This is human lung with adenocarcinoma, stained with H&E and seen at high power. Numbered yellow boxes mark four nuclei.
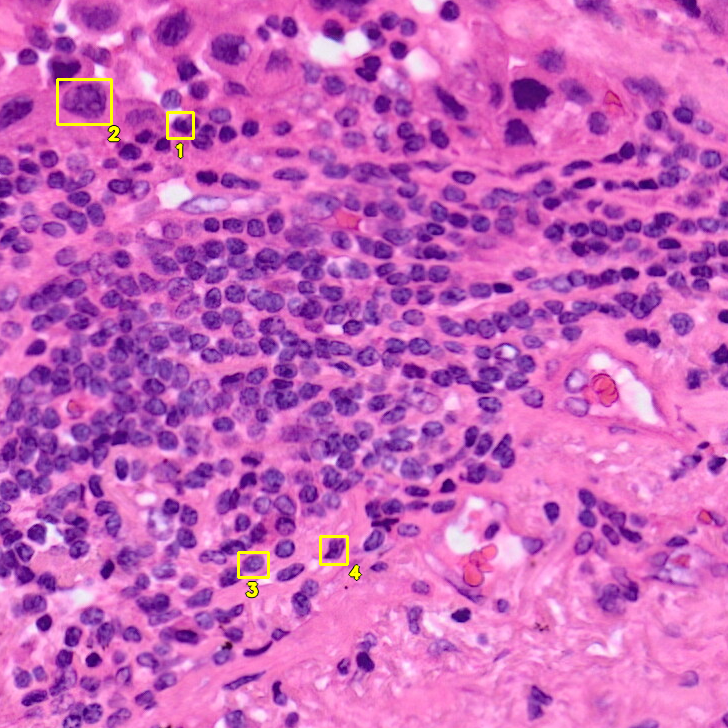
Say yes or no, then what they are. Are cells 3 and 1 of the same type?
Yes, both are lymphocytes.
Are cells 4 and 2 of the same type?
No, cell 4 is a lymphocyte and cell 2 is a carcinoma cell.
